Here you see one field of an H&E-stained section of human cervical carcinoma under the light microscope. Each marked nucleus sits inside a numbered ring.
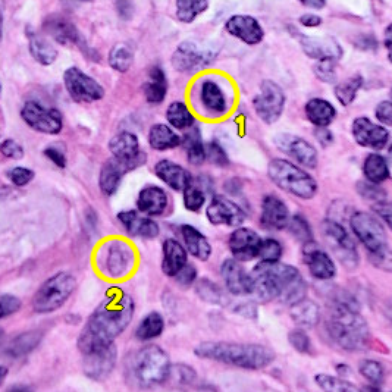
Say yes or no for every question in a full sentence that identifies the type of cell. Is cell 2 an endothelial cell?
Yes, the cell at marker 2 is an endothelial cell.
